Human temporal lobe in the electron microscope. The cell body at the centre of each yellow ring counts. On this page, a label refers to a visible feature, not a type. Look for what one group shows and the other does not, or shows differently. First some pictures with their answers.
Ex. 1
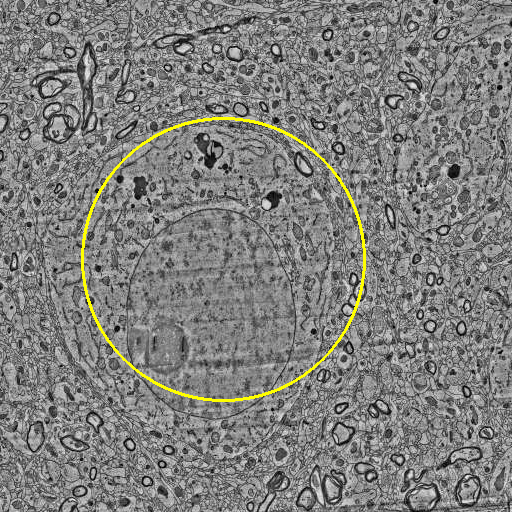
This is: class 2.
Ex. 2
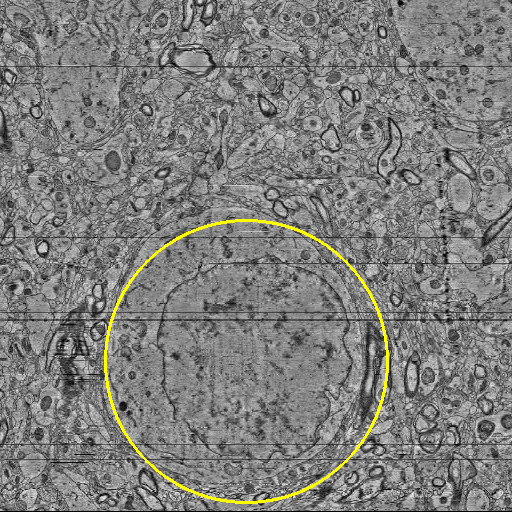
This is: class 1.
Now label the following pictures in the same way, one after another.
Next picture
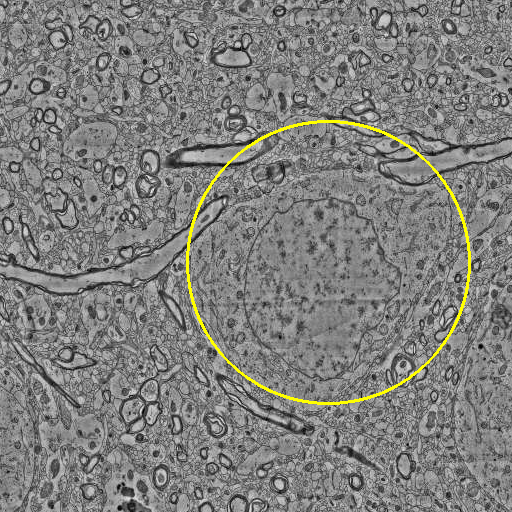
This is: class 2.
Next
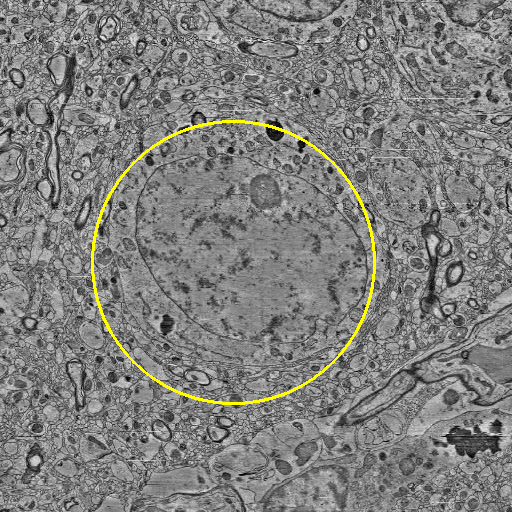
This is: class 2.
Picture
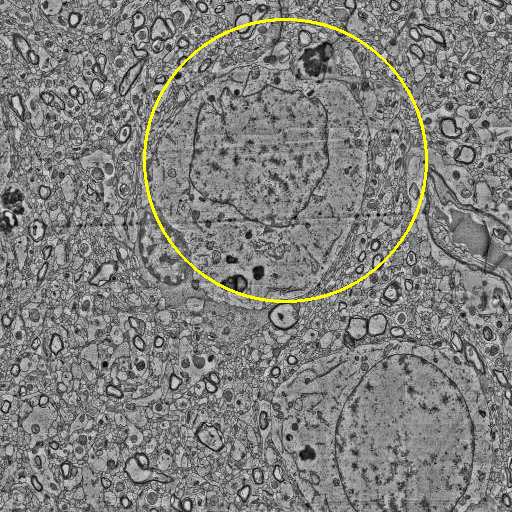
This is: class 1.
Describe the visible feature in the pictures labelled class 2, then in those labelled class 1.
Seen in class 2: smooth nuclear envelopes without deep folds; seen in class 1: deeply folded or indented nuclear envelopes.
